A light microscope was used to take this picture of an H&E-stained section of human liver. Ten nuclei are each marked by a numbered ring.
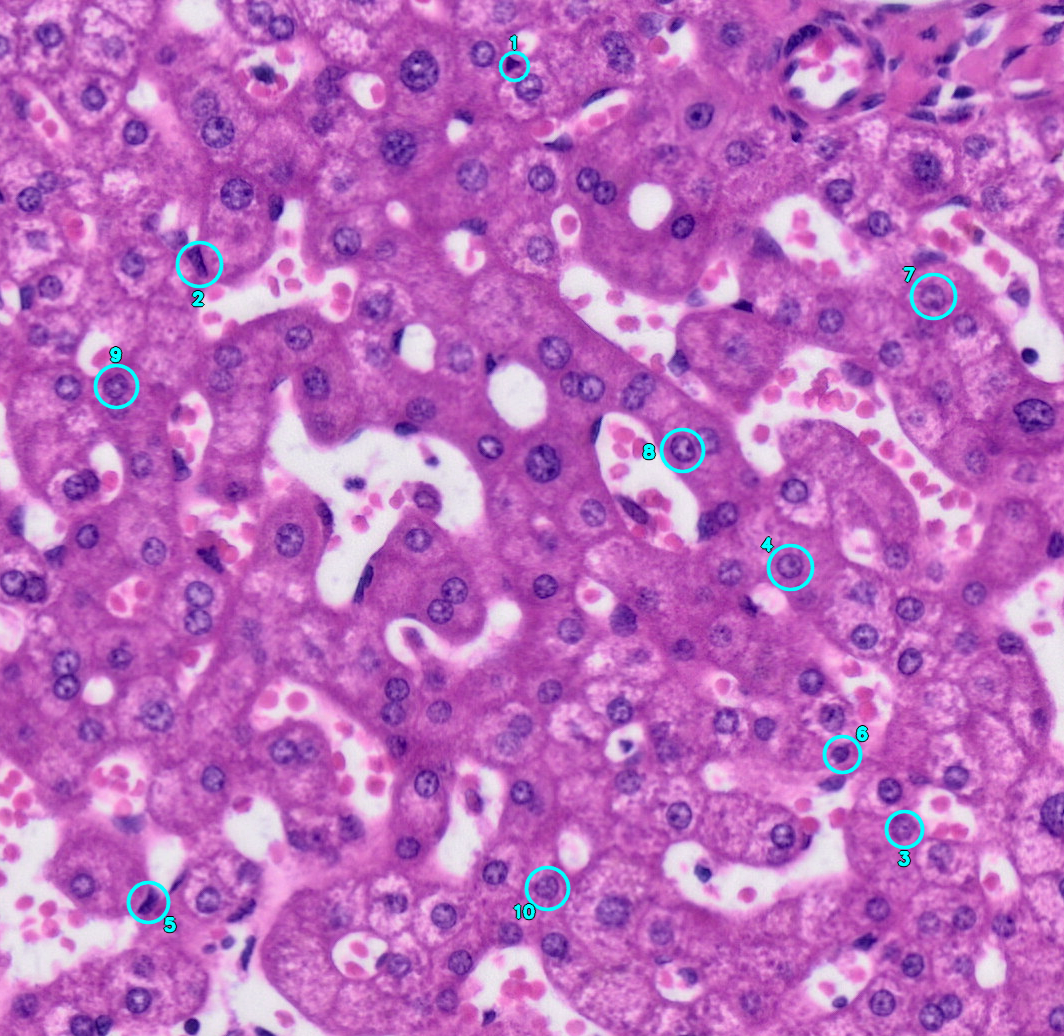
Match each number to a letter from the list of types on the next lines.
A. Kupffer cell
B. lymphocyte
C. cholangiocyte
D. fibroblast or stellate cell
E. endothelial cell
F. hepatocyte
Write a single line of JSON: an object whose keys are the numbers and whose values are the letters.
{"1": "D", "2": "D", "3": "F", "4": "F", "5": "D", "6": "D", "7": "F", "8": "F", "9": "F", "10": "F"}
